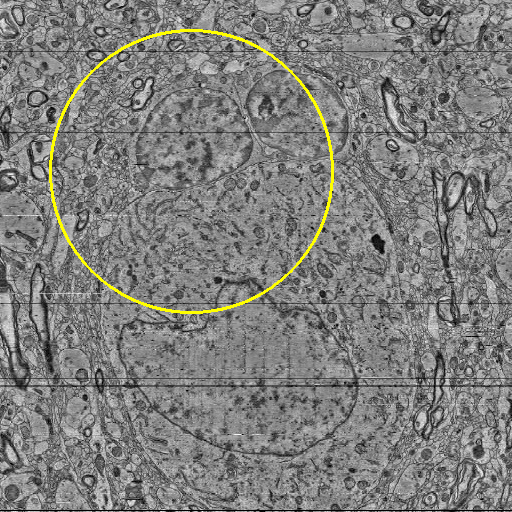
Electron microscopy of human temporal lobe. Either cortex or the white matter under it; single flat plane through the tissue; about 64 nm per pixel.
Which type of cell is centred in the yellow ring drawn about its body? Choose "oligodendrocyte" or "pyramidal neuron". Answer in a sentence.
The yellow ring surrounds the cell body of an oligodendrocyte.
